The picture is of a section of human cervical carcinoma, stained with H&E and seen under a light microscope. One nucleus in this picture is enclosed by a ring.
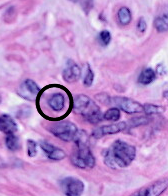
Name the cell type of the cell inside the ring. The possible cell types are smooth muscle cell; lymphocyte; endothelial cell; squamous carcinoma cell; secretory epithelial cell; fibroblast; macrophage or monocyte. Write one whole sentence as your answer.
It is as an endothelial cell that the cell inside the ring is classified.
